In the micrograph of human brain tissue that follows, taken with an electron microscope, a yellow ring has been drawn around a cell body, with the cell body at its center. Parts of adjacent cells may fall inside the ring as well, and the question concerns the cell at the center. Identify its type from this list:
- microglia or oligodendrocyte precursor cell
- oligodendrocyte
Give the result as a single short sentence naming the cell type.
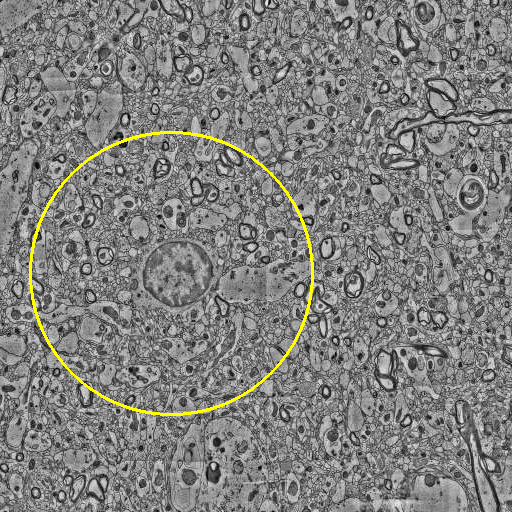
The ring is centered on an oligodendrocyte.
